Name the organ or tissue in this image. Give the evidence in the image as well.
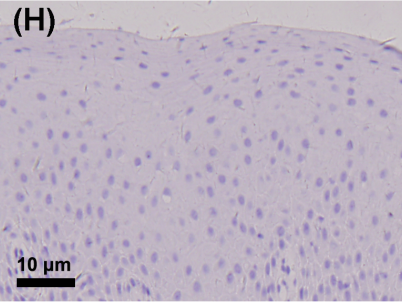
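Sheet of tightly packed cells with oval nuclei and pale cytoplasm. A smooth free surface runs along the top.
Epithelial tissue.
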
